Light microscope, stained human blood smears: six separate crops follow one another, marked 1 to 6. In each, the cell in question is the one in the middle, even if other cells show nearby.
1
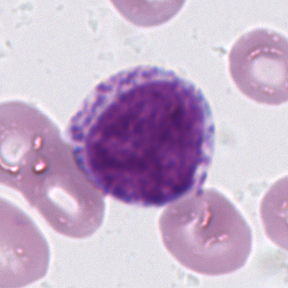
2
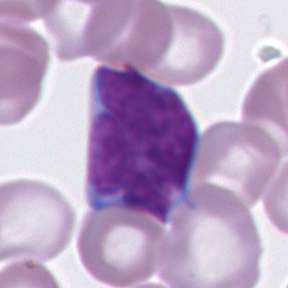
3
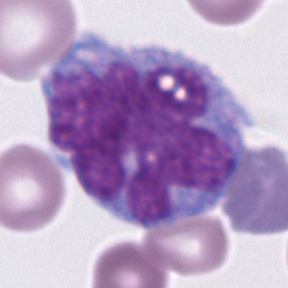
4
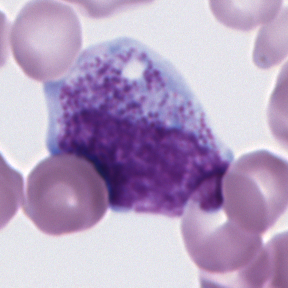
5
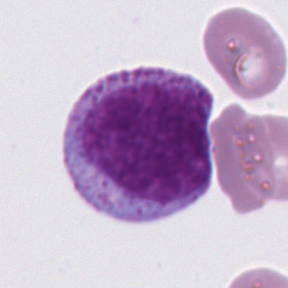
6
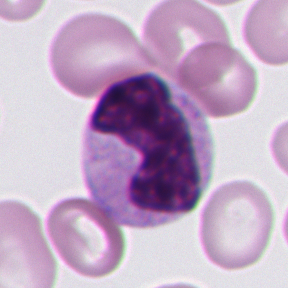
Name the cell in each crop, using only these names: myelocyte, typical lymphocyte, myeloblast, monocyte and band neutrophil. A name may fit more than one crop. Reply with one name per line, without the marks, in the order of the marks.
myelocyte
myeloblast
monocyte
myelocyte
myelocyte
band neutrophil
